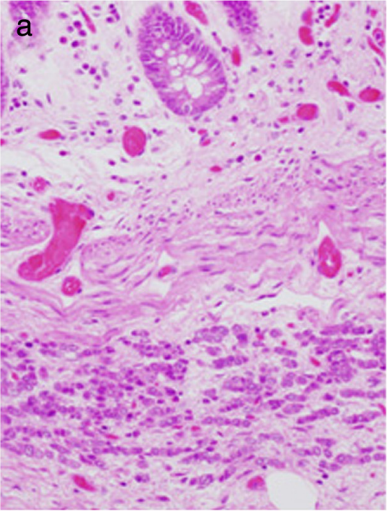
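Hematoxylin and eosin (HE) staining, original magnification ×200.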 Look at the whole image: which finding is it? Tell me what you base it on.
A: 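Diffuse and infiltrative proliferation of small tumor cells. The lower half is filled with sheets and cords of small, closely set cells with dark nuclei. These cells spread through the stroma without forming glands. A normal gland with goblet cells lies at the top.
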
